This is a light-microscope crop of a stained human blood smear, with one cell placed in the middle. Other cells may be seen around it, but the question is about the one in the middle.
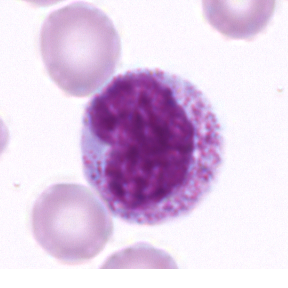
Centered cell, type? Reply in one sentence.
In this smear crop, the middle cell is a metamyelocyte.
